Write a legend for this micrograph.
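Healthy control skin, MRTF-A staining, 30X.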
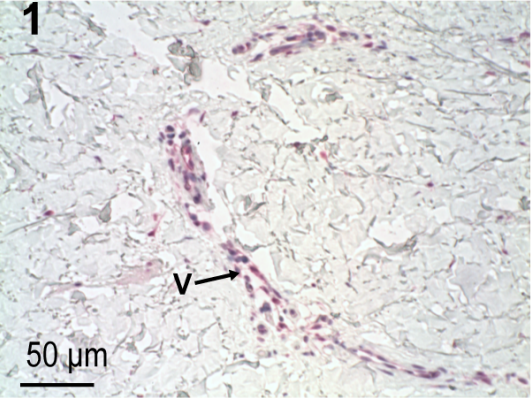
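Dermis with small blood vessels running through loose, pale connective tissue. The vessel walls are formed by rows of elongated cells with oval, blue-purple nuclei lying in line with the vessel's course, with faint pink staining. Around the vessels, scattered spindle-shaped cells lie among wavy fibres of the pale dermal matrix.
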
